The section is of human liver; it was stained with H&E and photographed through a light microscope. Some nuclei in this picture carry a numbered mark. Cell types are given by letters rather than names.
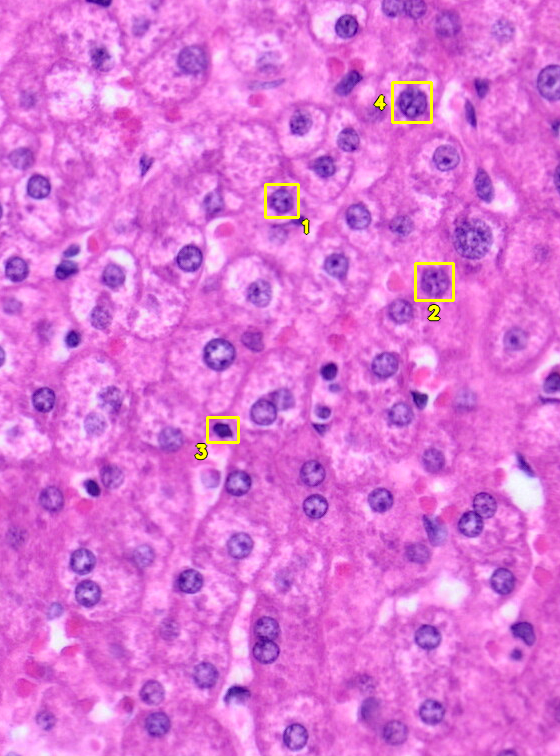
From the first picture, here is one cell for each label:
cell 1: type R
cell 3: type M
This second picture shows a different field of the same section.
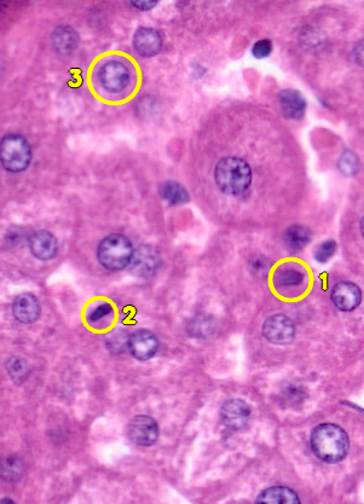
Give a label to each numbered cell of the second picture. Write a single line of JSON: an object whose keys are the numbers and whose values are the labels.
{"1": "type M", "2": "type M", "3": "type R"}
